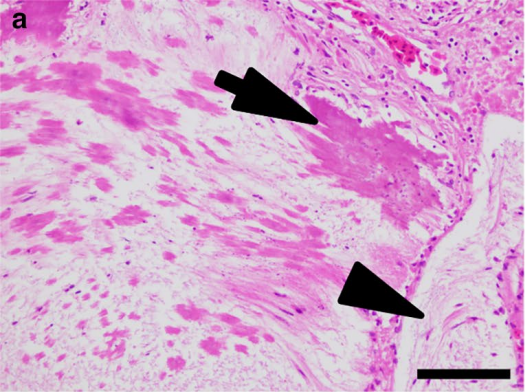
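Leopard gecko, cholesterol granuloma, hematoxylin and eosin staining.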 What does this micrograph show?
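One larger, denser patch of this pink material lies near the edge of the crystal mass. To the right a band of fibrous connective tissue with scattered small dark nuclei borders the mass, and red blood cells are seen at the top right.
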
